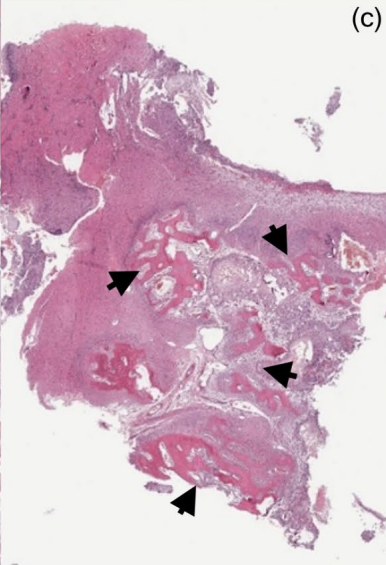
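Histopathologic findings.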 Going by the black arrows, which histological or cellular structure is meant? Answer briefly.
Anastomosing trabeculae of woven bone.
